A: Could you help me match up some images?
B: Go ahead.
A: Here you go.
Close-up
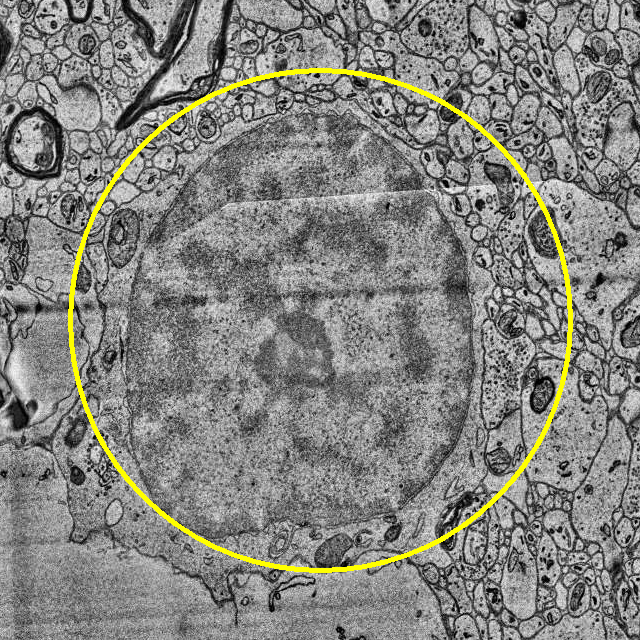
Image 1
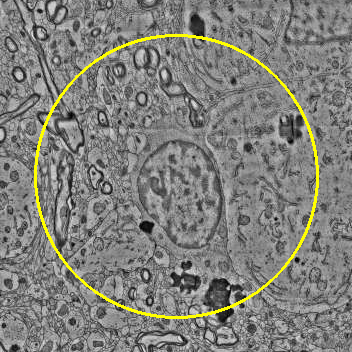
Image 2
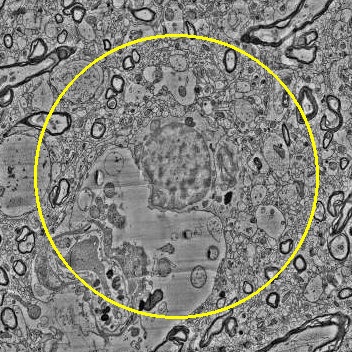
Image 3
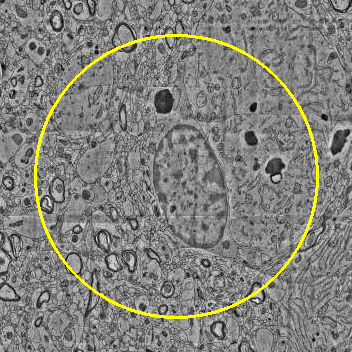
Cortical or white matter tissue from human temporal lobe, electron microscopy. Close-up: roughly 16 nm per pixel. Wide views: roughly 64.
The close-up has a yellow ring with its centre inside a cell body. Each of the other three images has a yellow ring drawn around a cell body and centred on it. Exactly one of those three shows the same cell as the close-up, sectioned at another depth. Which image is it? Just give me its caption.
Image 2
